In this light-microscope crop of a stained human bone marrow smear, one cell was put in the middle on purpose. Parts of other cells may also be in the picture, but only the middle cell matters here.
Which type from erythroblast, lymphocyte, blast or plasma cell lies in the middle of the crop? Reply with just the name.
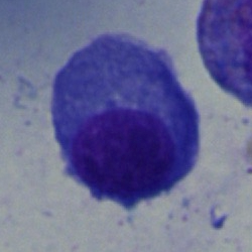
plasma cell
